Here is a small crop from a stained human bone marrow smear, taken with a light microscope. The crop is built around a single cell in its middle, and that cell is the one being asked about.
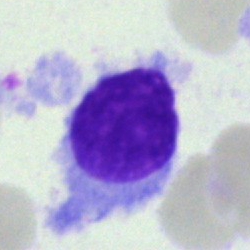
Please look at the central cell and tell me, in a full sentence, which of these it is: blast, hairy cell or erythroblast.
At the middle of the frame sits a hairy cell.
